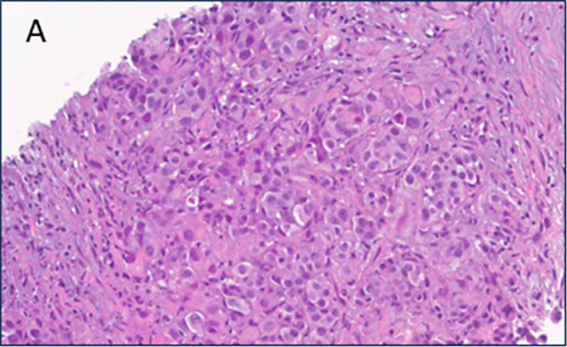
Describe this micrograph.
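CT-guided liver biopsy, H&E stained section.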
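This section shows nests of large epithelioid tumor cells set in a pink fibrous stroma. In places the cells line small gland-like spaces, and some show clear cytoplasmic vacuoles. Between the nests runs a dense stroma of spindle-shaped cells and collagen. Together this is the picture of atypical epithelioid carcinoma cells forming glands within a desmoplastic stroma.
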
